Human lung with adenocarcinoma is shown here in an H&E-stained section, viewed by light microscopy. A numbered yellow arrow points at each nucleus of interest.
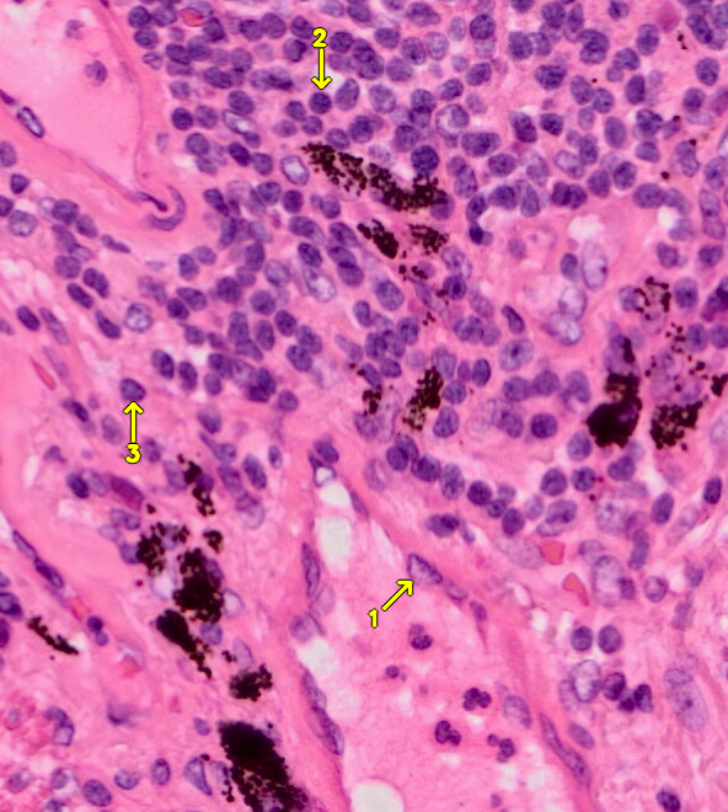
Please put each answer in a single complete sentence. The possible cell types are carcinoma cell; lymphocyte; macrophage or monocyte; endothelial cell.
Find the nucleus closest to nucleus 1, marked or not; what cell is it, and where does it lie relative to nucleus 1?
Lying below and to the right of nucleus 1, the nearest nucleus is that of an endothelial cell.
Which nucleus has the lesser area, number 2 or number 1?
Nucleus 2 is the smaller one; nucleus 1 covers about 1.5 times its area.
